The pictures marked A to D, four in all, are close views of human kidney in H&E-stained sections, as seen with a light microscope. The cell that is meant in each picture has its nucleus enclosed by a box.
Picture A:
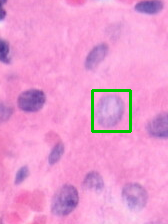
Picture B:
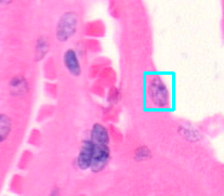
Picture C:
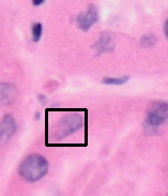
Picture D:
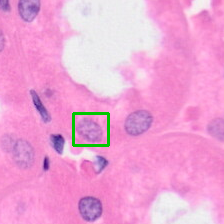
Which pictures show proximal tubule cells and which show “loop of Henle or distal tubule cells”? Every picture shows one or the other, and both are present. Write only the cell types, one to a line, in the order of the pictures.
proximal tubule cell
loop of Henle or distal tubule cell
proximal tubule cell
proximal tubule cell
